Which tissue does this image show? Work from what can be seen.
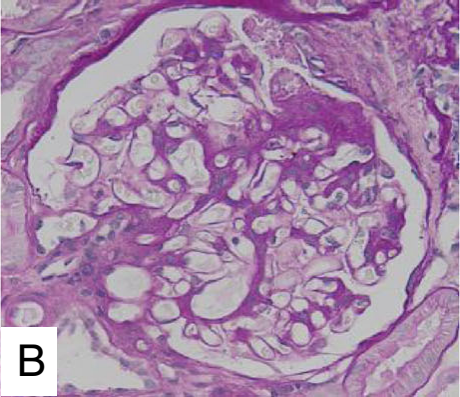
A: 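Glomeruli. A rounded tuft of capillary loops fills the centre. The tuft sits inside a space lined by a thin capsule. Renal tubules lie outside the capsule.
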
